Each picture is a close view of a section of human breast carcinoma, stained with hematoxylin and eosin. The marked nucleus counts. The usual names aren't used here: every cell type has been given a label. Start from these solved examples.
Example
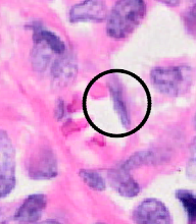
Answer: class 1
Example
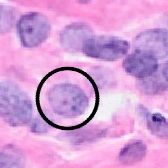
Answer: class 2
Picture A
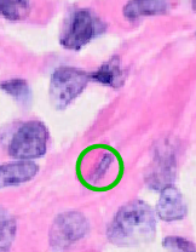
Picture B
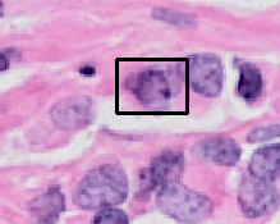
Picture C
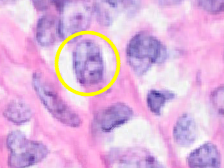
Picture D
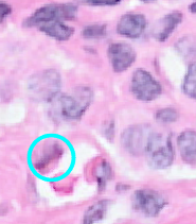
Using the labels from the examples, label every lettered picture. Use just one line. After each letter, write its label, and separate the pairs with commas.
A class 1, B class 2, C class 2, D class 1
